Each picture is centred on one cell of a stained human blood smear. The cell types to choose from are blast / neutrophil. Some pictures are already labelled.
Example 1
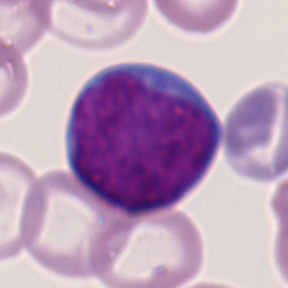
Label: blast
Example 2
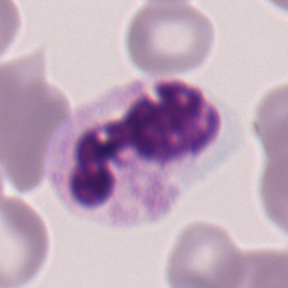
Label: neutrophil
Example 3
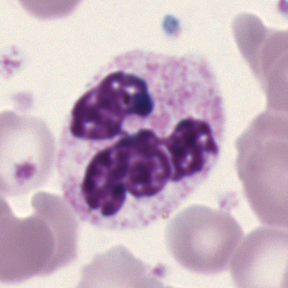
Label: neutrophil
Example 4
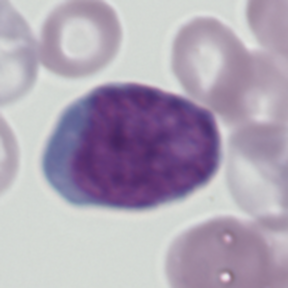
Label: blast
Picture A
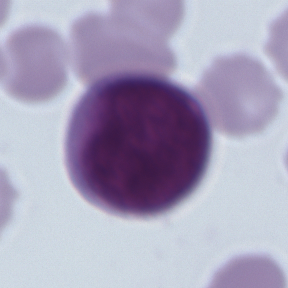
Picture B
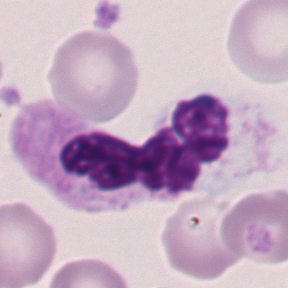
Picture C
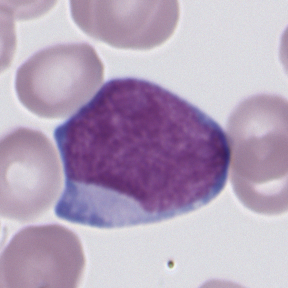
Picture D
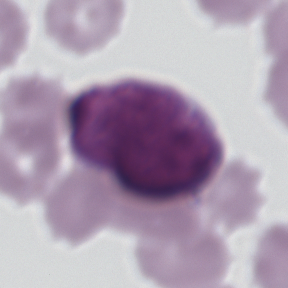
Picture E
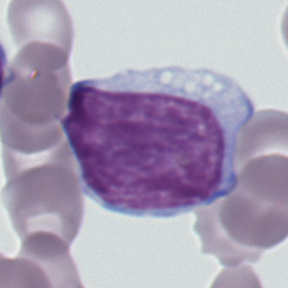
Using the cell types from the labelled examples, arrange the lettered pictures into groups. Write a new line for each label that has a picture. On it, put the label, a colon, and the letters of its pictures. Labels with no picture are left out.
blast: A, C, D, E
neutrophil: B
